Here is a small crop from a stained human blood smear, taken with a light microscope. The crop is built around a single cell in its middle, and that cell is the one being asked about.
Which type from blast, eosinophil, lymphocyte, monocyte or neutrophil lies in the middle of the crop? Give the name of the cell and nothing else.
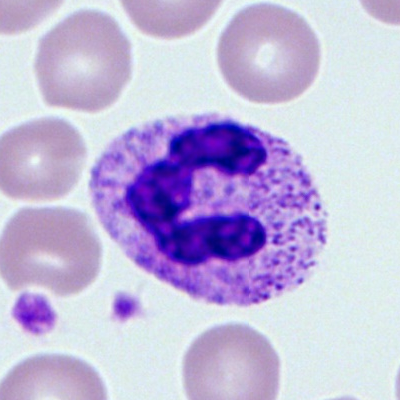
neutrophil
